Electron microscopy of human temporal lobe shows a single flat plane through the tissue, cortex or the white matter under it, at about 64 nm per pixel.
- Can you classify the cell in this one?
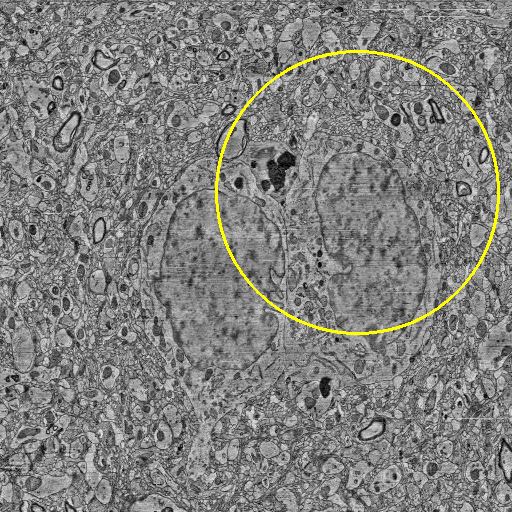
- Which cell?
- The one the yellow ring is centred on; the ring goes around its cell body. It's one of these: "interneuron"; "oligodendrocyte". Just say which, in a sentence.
The cell body in the ring belongs to an interneuron.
